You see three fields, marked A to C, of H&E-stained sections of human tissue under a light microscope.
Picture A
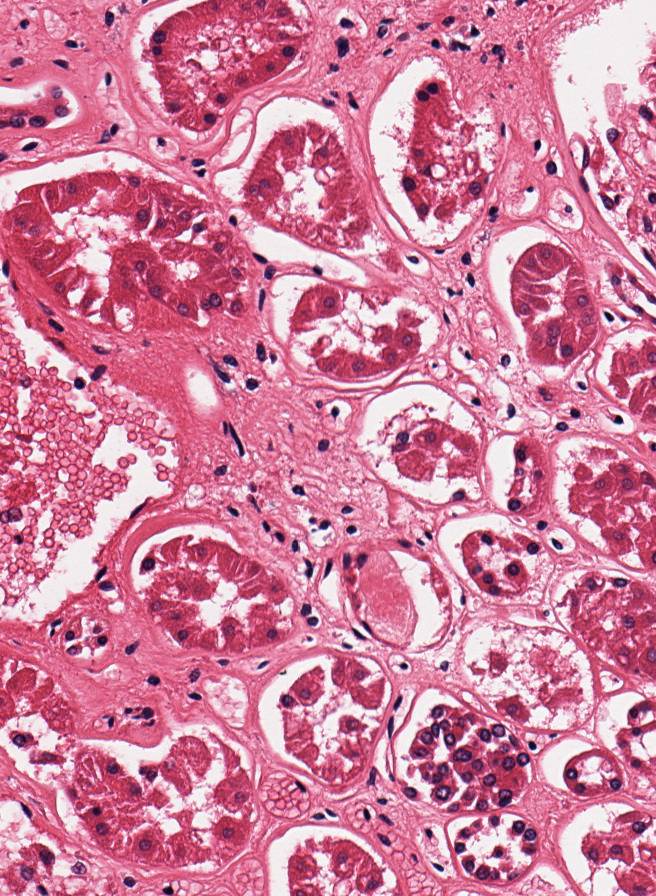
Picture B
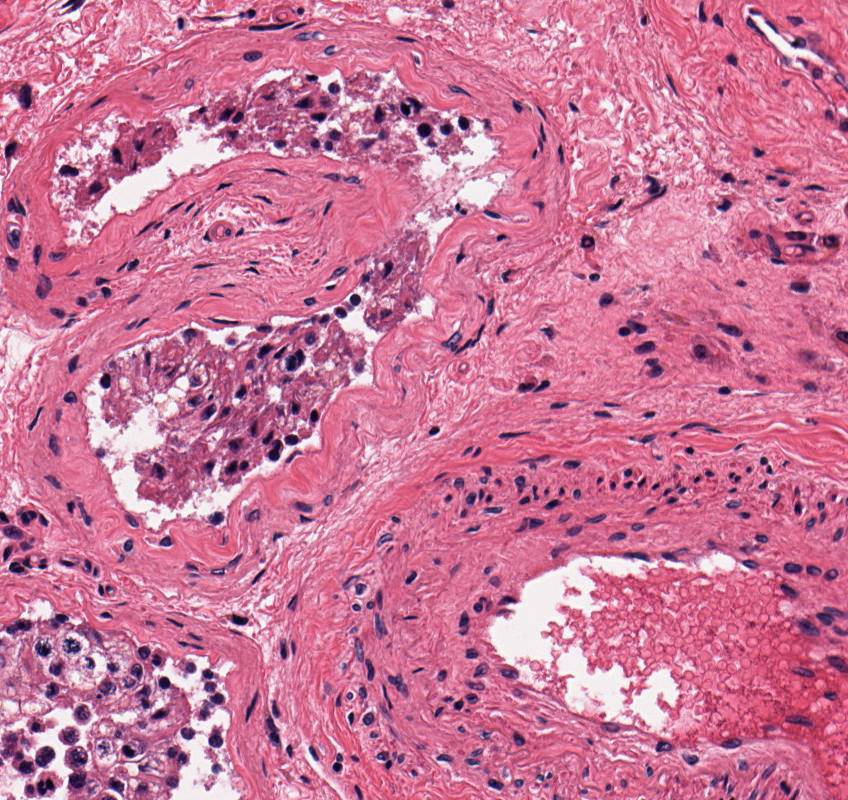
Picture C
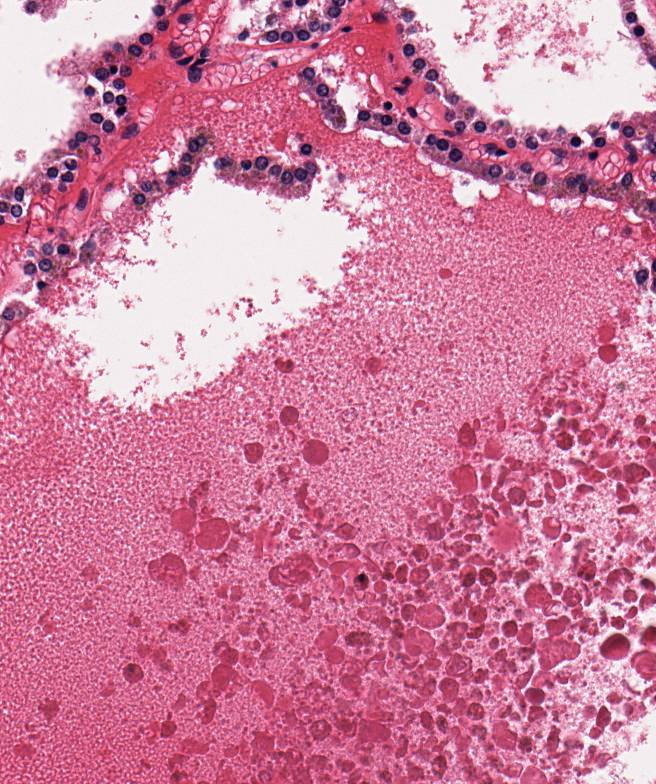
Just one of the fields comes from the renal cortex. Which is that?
A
